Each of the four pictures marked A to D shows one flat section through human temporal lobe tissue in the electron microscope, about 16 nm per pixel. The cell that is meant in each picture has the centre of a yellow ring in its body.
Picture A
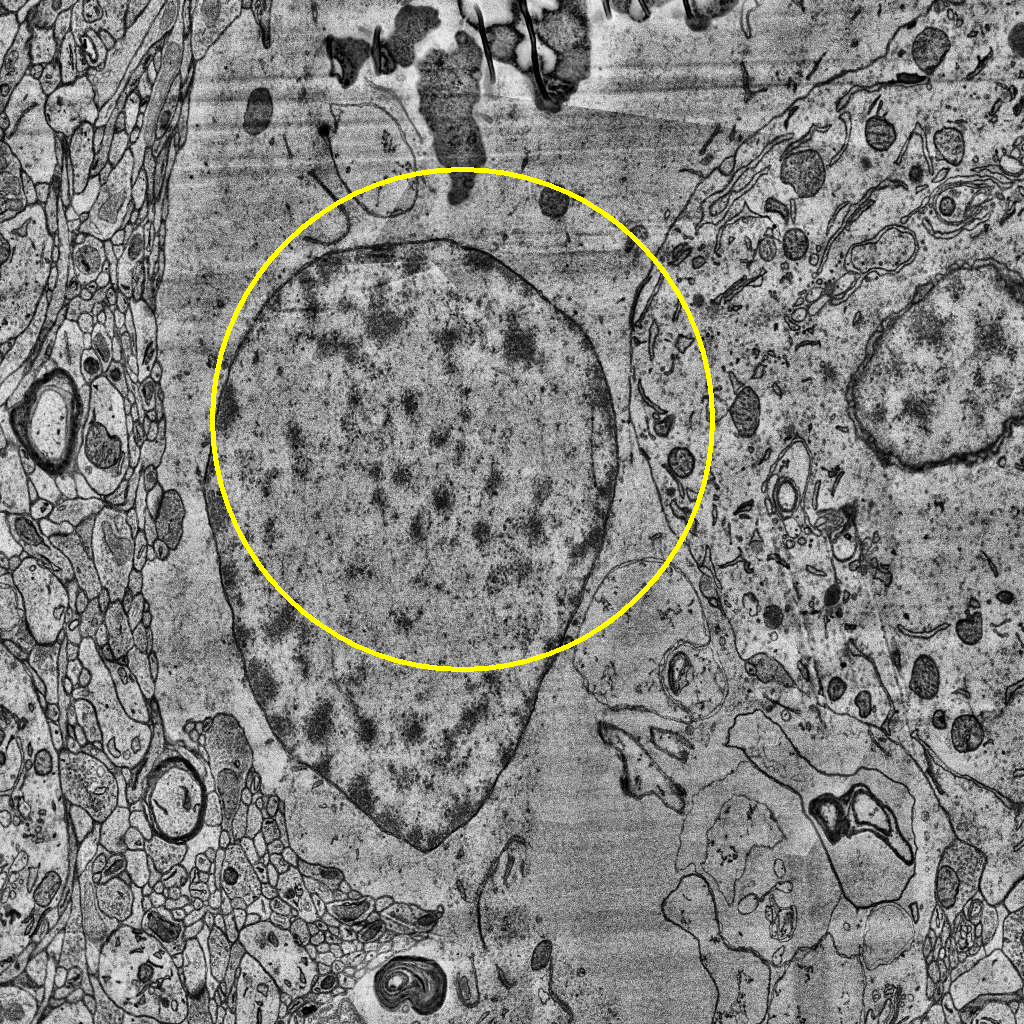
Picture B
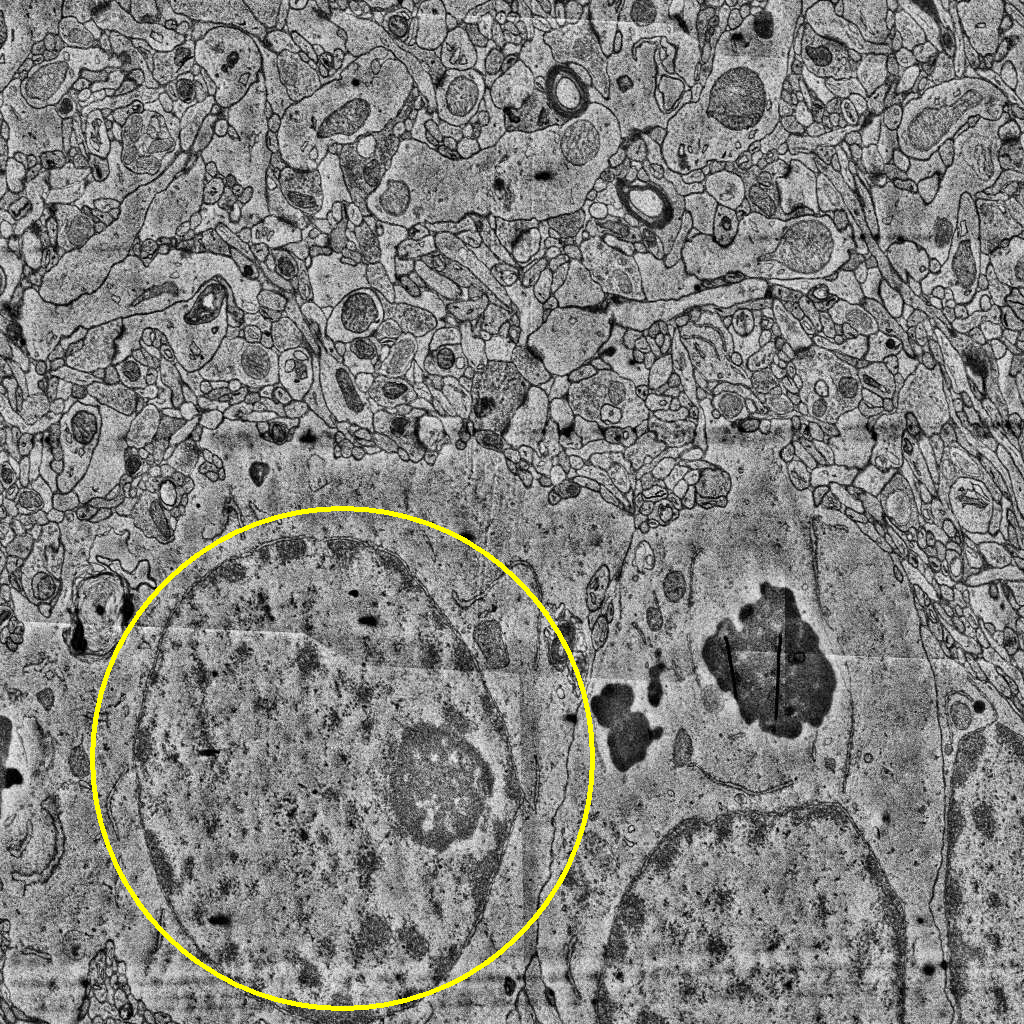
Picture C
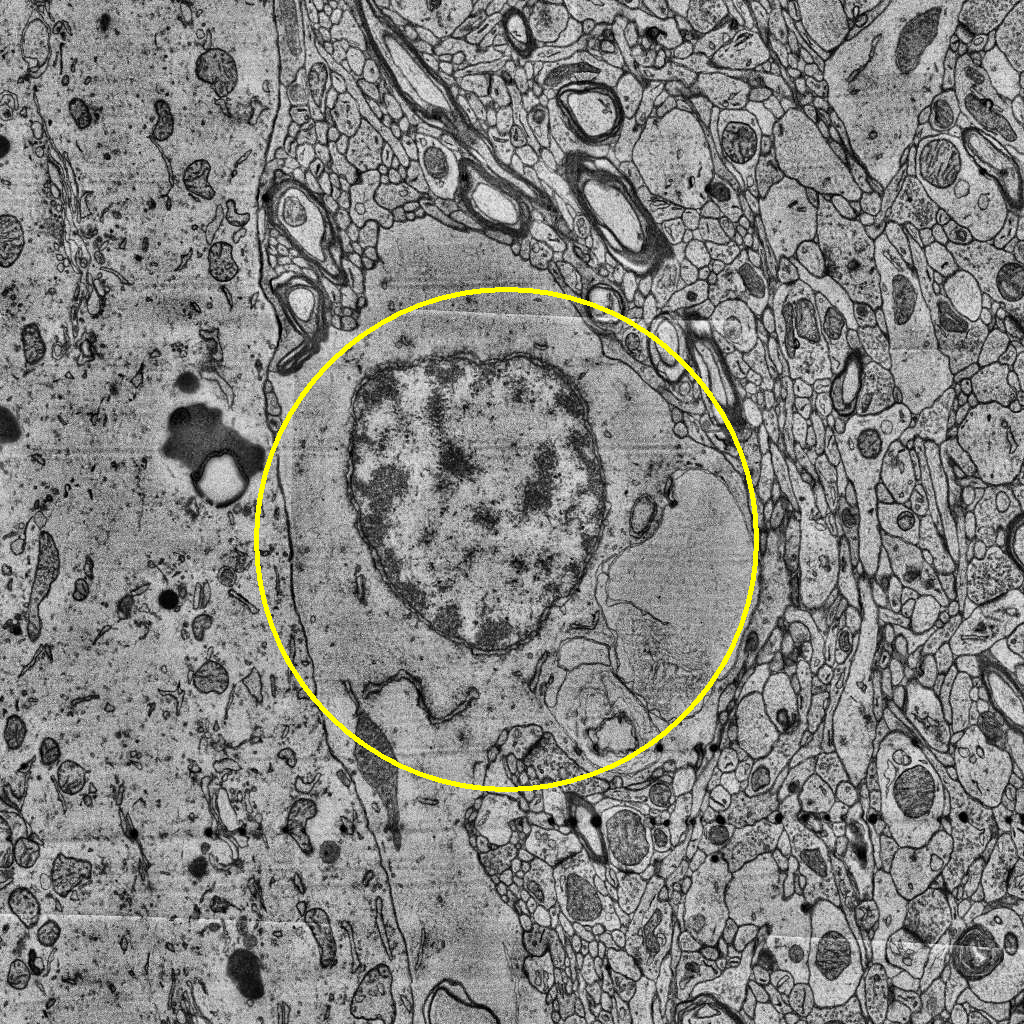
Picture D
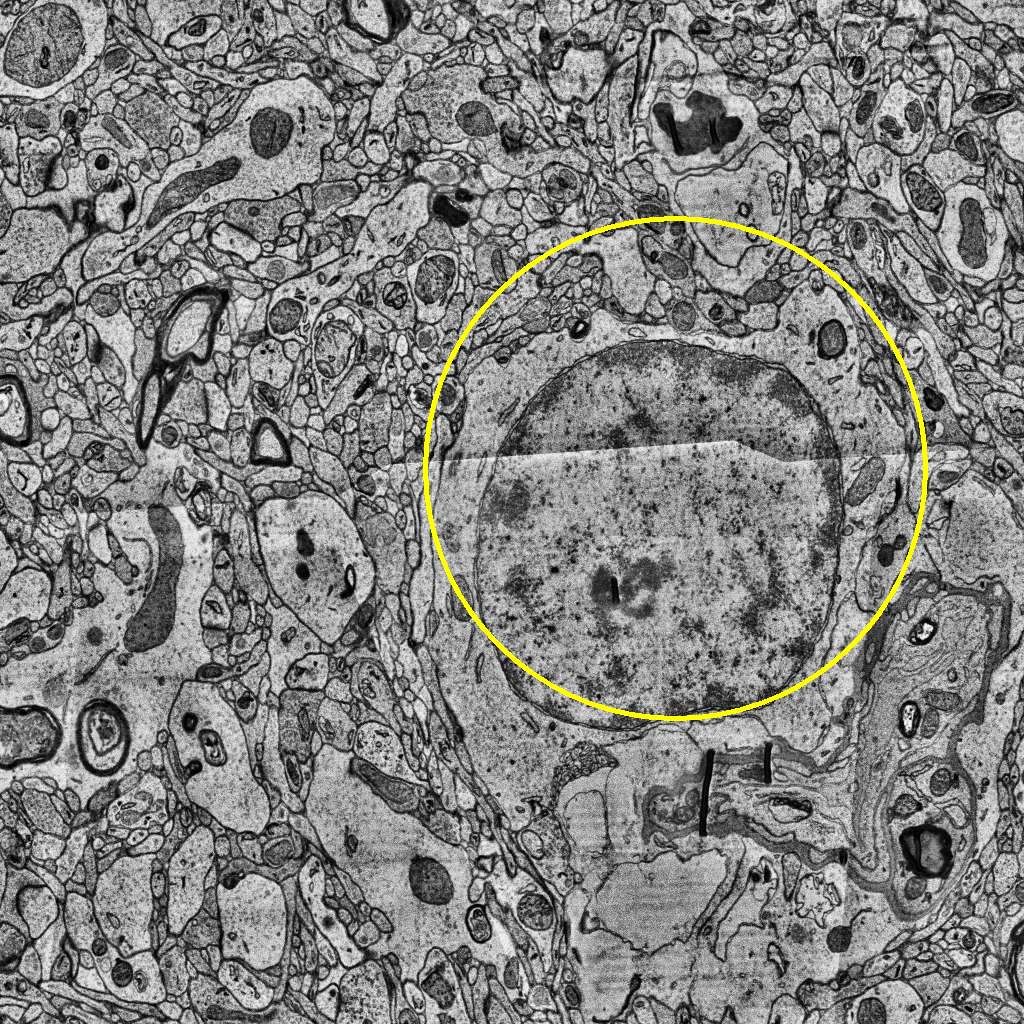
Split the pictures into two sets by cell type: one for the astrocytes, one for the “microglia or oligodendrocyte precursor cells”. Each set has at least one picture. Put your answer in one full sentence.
Pictures A, B and C show astrocytes, while picture D shows a “microglia or oligodendrocyte precursor cell”.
